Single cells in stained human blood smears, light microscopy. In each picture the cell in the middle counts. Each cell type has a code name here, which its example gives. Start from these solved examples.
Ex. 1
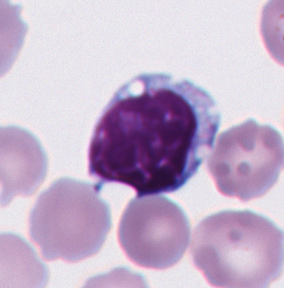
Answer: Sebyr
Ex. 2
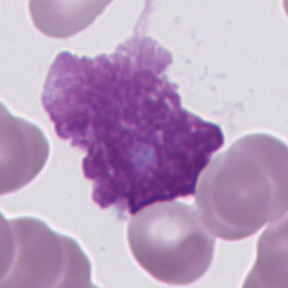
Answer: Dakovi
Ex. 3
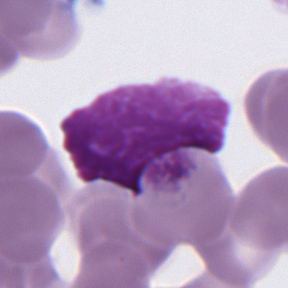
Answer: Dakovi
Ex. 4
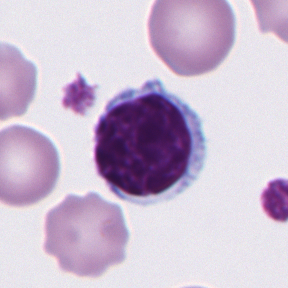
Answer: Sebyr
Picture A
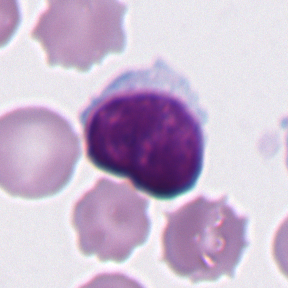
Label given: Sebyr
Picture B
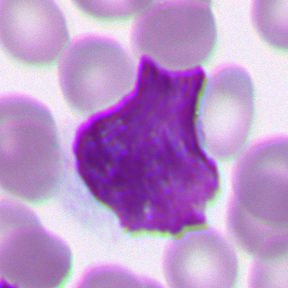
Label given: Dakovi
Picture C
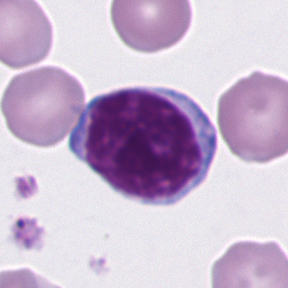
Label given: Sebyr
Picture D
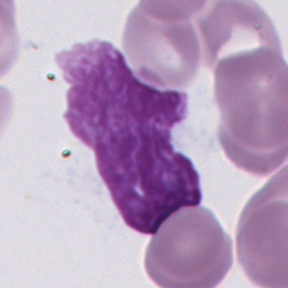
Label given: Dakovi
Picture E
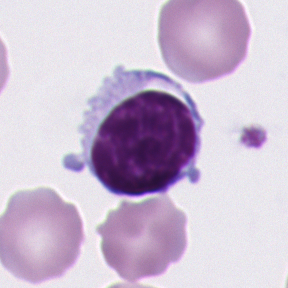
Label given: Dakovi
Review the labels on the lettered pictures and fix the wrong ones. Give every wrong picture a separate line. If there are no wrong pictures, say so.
E: not Dakovi but Sebyr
